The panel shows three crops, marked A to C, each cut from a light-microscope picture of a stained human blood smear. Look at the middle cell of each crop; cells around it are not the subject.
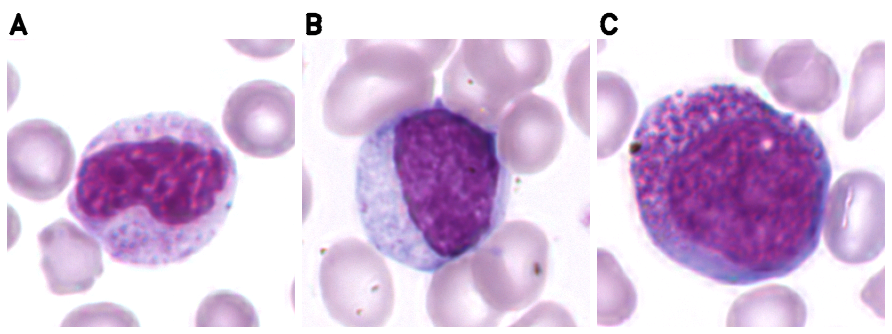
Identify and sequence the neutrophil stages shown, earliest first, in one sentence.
The maturation order of the crops, earliest to latest, is crop C (a promyelocyte), crop B (a myelocyte) and crop A (a metamyelocyte).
